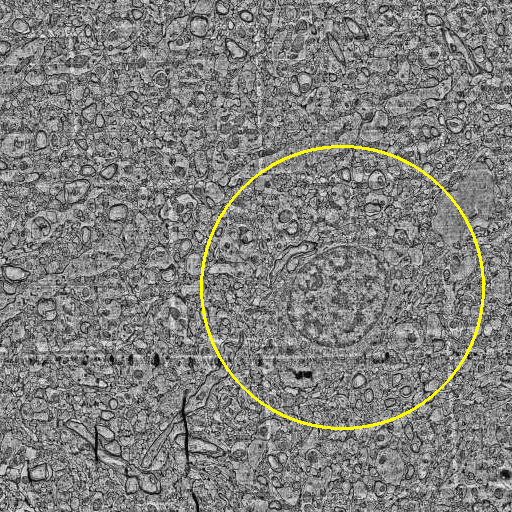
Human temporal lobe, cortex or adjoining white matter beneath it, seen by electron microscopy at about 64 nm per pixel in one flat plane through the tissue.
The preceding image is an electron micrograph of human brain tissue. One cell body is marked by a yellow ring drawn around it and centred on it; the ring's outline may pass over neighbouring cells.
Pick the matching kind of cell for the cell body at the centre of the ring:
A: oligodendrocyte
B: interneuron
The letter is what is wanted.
A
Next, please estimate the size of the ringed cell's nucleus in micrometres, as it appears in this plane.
In this plane, the nucleus of the cell at the centre of the ring measures about 7 by 6 micrometres.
